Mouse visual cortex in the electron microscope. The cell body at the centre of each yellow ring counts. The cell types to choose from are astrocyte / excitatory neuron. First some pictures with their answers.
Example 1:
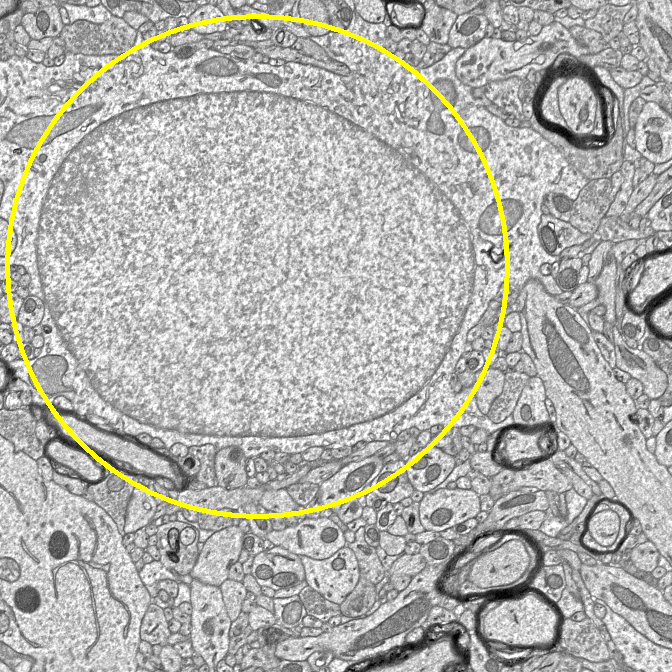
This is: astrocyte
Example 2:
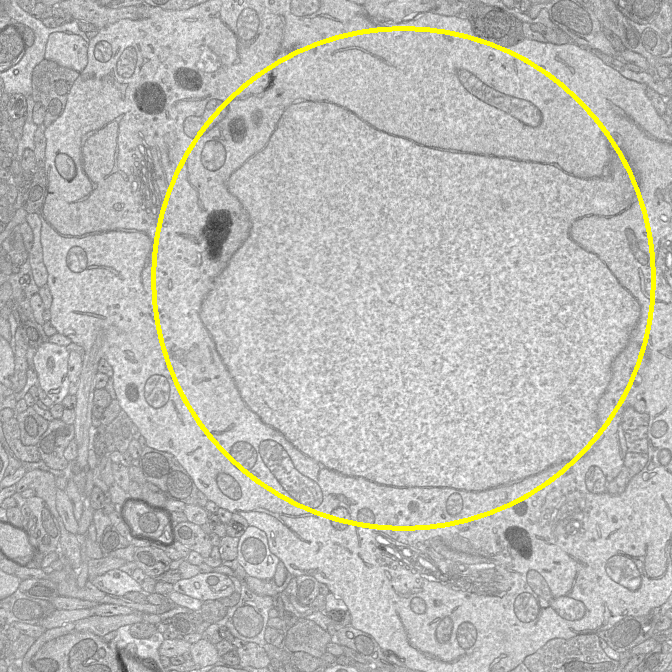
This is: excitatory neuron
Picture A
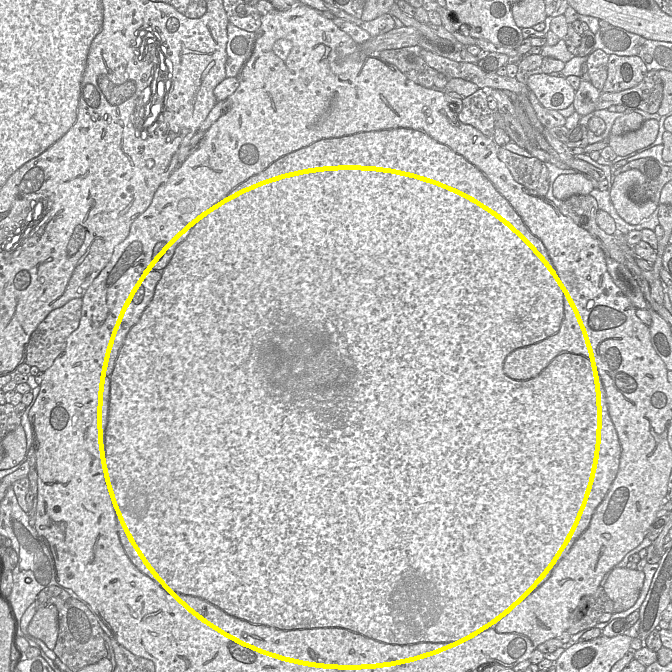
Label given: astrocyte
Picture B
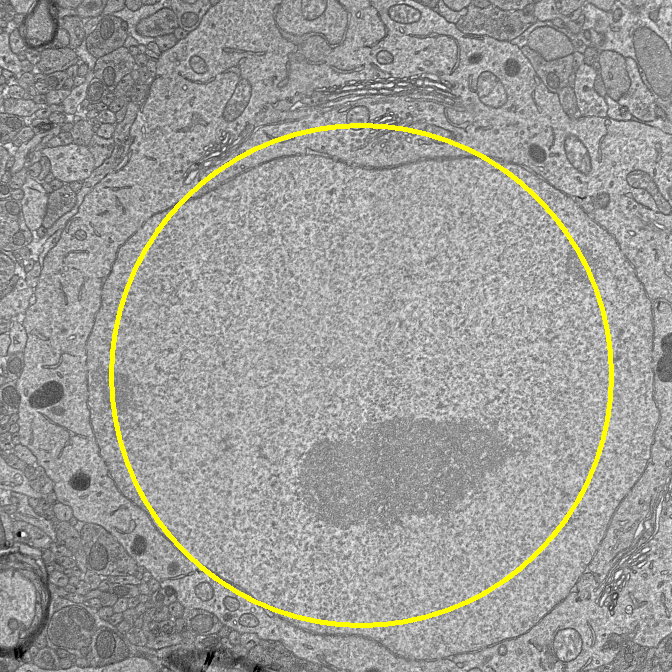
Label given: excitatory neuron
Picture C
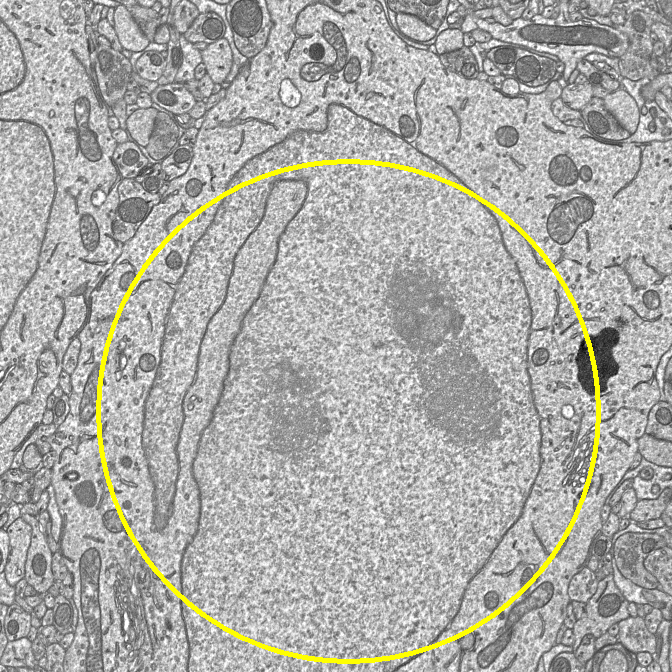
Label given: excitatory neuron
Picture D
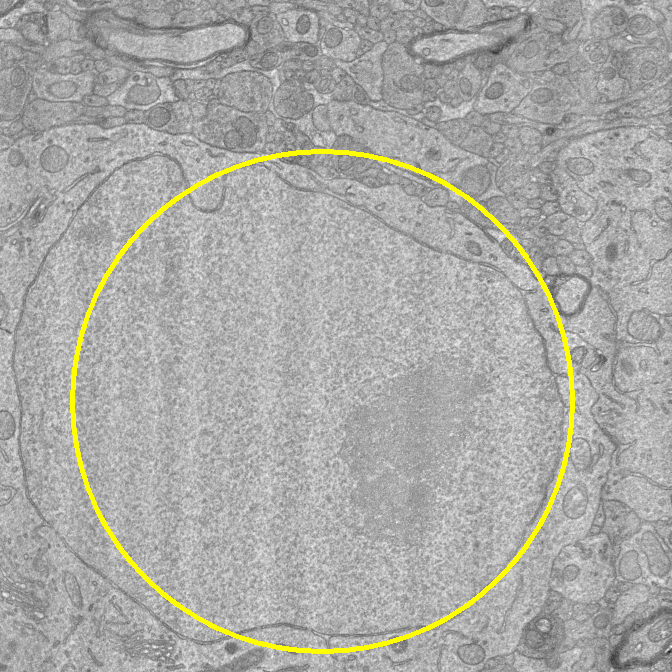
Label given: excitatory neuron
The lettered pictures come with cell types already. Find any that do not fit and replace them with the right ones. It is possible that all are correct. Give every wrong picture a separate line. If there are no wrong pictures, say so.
Wrong: A (astrocyte); correct: excitatory neuron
